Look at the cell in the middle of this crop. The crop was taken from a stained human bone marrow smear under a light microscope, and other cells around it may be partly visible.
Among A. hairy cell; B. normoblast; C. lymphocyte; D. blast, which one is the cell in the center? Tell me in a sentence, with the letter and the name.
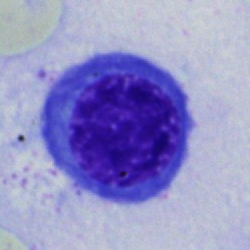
The cell centred in the crop is a normoblast, and the correct option is thus B.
